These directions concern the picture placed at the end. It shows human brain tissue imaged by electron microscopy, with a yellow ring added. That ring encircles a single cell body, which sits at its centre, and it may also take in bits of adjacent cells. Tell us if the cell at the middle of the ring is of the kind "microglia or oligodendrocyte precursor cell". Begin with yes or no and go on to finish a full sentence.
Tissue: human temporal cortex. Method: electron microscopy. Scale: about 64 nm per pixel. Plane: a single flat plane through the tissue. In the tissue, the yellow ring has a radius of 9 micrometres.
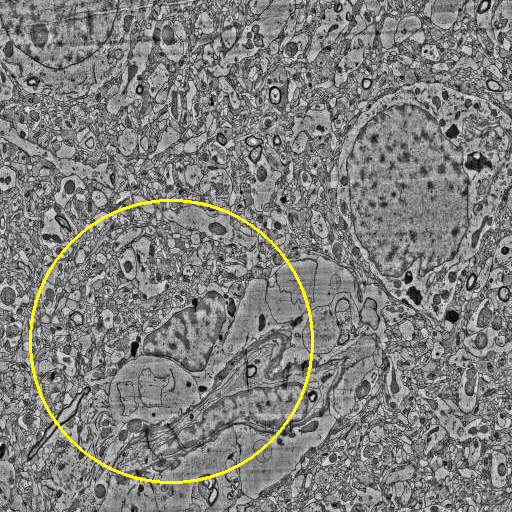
Yes, the cell sitting at the centre of the yellow ring in the picture is of that kind.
